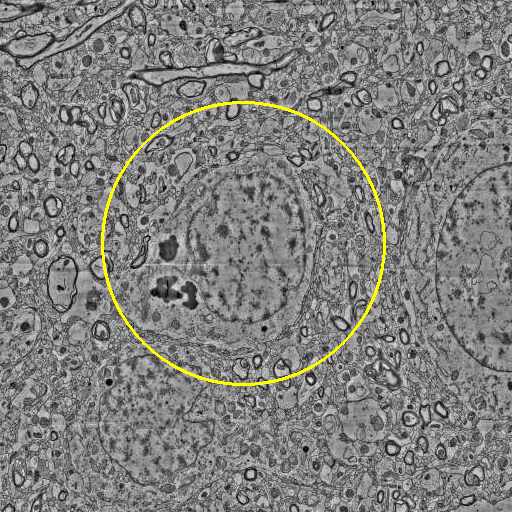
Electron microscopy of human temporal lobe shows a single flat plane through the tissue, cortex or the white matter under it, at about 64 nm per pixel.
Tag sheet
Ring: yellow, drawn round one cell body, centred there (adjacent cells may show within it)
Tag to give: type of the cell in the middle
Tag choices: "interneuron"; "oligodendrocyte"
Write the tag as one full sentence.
I tag the cell centred in the yellow ring as an interneuron in this picture.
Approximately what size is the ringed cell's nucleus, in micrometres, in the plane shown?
About 10 micrometres by about 8 micrometres in this plane.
